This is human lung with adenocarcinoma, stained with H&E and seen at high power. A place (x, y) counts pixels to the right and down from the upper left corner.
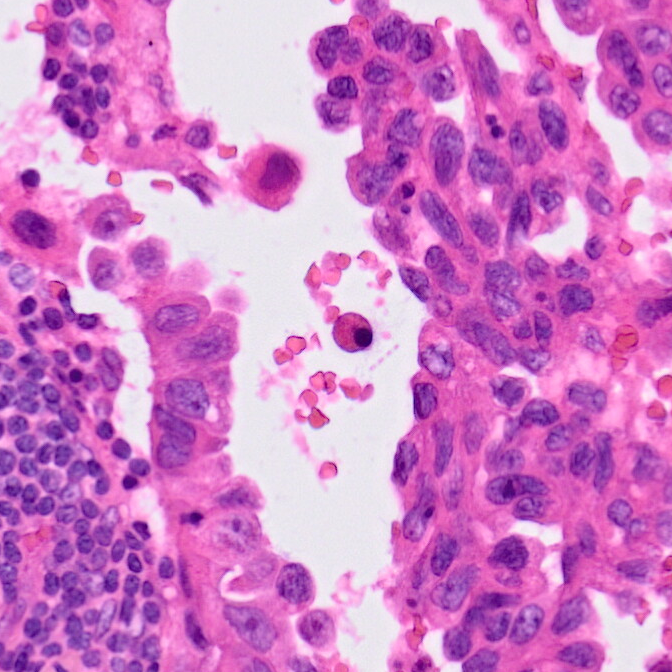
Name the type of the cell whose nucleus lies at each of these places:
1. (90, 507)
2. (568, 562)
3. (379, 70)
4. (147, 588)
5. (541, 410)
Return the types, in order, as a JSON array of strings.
["lymphocyte", "carcinoma cell", "carcinoma cell", "lymphocyte", "carcinoma cell"]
